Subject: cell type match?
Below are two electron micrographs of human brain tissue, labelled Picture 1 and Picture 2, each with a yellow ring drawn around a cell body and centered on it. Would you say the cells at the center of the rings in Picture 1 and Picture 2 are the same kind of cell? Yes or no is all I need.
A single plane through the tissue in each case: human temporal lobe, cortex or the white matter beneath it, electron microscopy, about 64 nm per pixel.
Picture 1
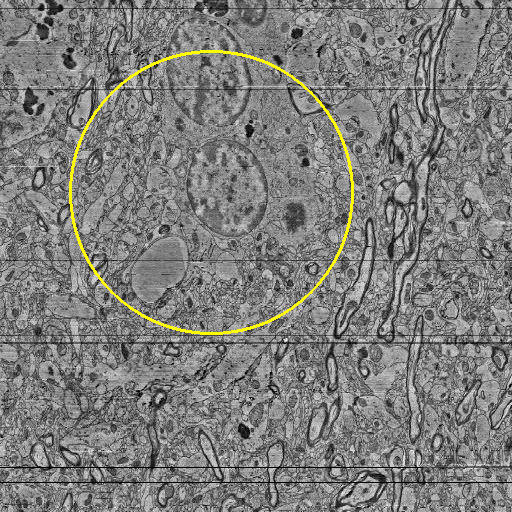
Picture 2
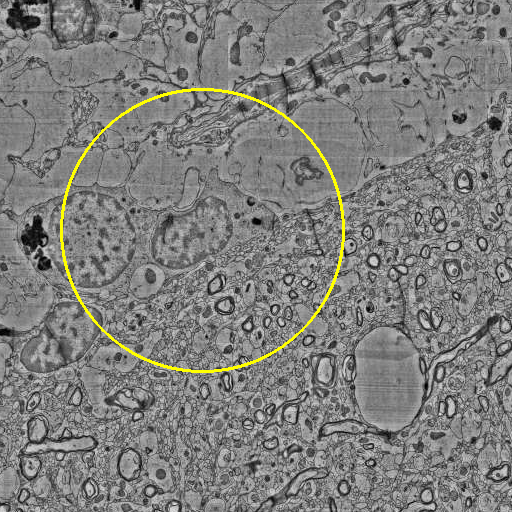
yes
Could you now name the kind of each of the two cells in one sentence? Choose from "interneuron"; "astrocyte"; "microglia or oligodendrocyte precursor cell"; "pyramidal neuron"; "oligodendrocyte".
Each of the two rings is centred on an oligodendrocyte.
